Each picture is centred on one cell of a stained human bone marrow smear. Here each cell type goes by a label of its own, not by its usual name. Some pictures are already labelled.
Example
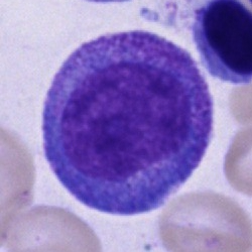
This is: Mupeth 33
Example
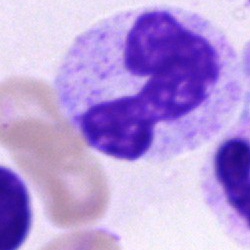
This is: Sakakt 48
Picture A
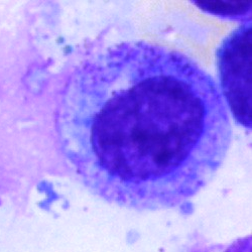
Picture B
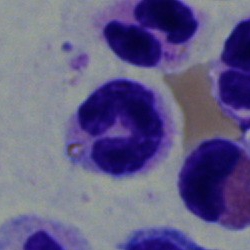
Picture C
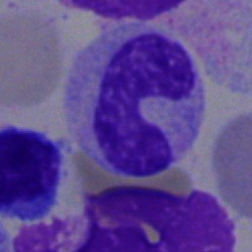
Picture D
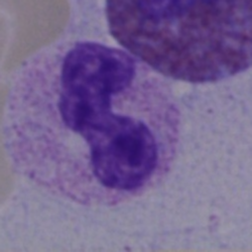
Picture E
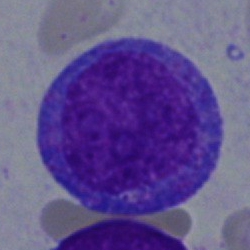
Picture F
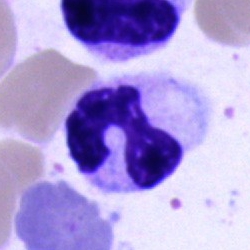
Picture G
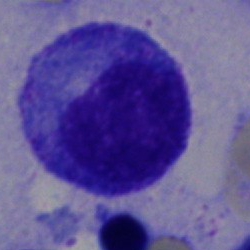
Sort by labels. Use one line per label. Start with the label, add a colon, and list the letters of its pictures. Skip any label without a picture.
Mupeth 33: A, E, G
Sakakt 48: B, C, D, F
